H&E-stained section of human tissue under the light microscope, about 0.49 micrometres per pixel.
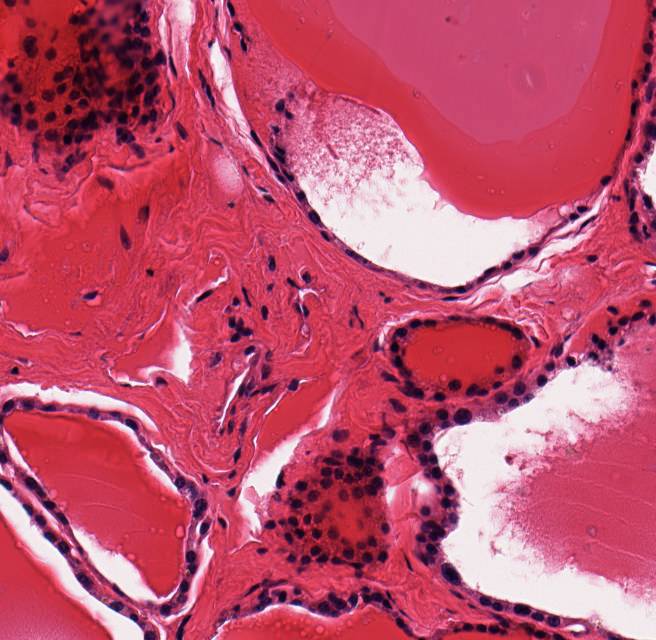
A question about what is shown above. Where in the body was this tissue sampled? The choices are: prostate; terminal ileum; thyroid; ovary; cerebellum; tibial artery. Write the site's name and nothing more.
thyroid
